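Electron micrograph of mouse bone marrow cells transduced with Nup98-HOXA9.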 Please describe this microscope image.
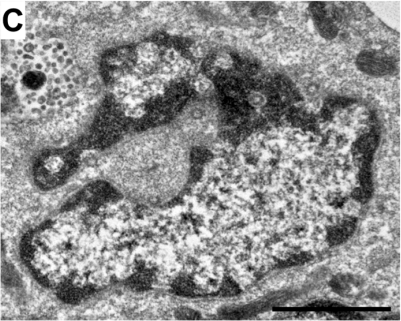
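Thick bands of dense heterochromatin run along the folded nuclear border around paler, granular nucleoplasm. Small dense granules lie in the cytoplasm at the upper left.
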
